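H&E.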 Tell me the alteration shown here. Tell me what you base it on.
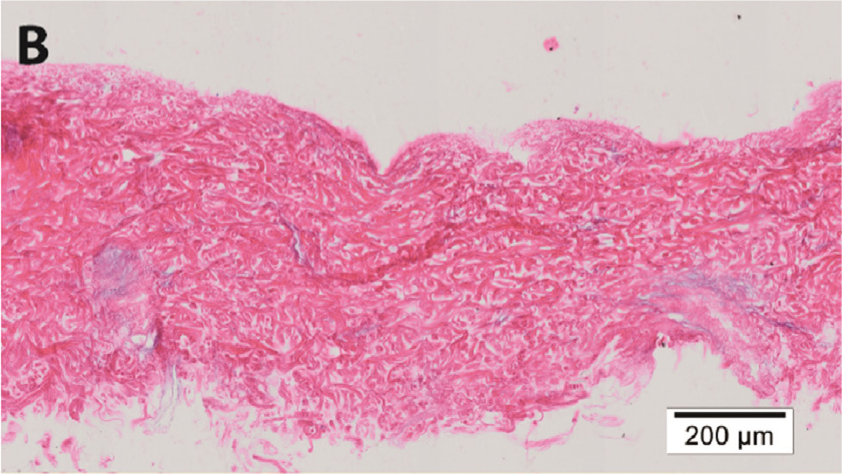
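Acellular dermal matrix. The section is a meshwork of pink wavy fibres. No purple nuclei are seen anywhere. There is no surface cell layer.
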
